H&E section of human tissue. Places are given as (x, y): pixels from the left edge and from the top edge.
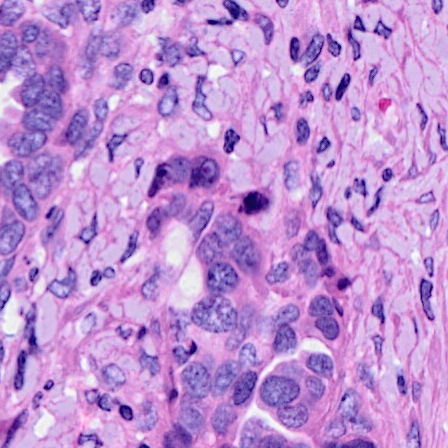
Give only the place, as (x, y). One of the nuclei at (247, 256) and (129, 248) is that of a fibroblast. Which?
(129, 248)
